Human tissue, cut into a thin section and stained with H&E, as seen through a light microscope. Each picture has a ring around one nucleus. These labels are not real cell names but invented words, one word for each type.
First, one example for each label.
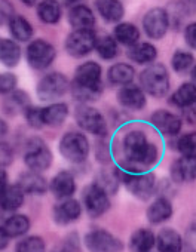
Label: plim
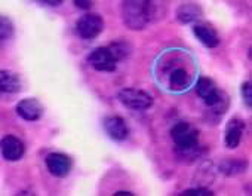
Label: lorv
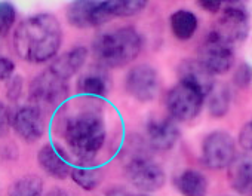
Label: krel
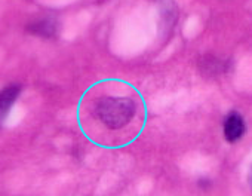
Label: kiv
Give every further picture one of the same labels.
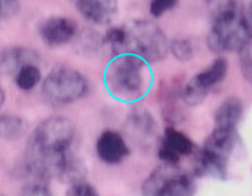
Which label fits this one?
krel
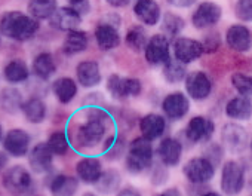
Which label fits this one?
plim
